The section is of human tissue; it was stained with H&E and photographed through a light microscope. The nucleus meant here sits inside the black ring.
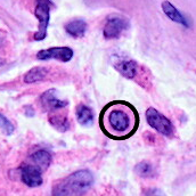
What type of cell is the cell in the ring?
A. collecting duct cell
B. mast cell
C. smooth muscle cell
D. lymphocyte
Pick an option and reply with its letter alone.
B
